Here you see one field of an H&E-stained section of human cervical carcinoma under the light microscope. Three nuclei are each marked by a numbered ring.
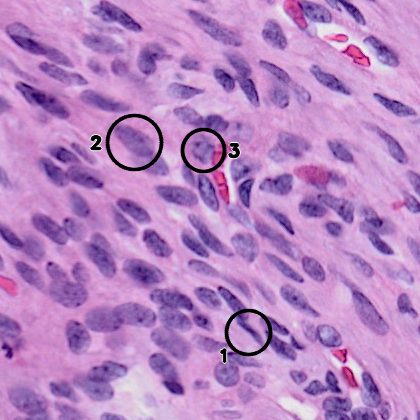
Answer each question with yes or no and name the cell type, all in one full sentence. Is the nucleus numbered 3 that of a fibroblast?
No, number 3 is assigned to an endothelial cell, not to a fibroblast.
